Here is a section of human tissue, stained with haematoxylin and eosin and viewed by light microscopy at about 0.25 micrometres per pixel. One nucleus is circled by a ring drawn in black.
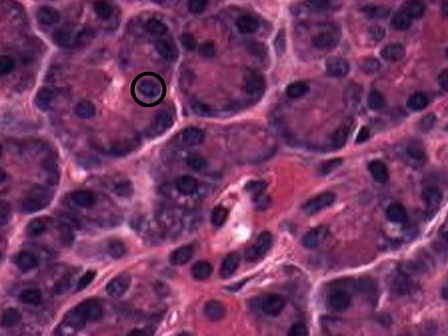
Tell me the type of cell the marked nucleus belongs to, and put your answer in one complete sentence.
The marked nucleus here is the nucleus of a pancreatic acinar cell.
